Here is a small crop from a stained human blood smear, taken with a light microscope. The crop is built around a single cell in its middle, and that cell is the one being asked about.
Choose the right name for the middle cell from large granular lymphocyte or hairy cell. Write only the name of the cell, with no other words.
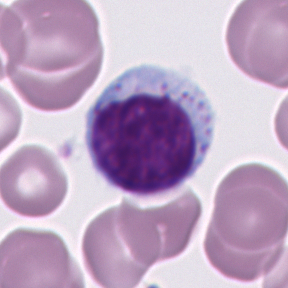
large granular lymphocyte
